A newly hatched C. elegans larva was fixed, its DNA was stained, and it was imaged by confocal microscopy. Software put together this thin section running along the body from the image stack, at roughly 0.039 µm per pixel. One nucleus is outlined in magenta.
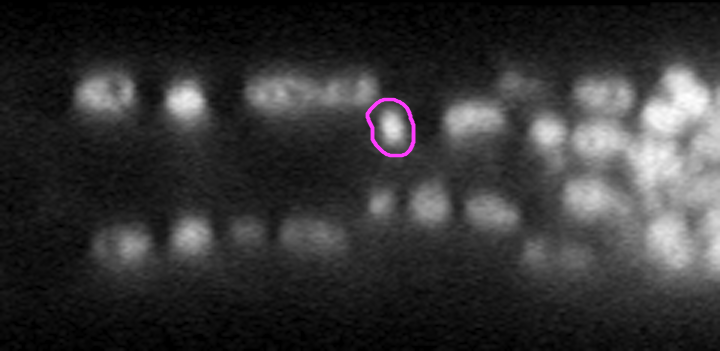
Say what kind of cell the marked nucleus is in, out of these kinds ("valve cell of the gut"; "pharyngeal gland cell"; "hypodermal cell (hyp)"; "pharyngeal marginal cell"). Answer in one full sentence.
It is the nucleus of a valve cell of the gut.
